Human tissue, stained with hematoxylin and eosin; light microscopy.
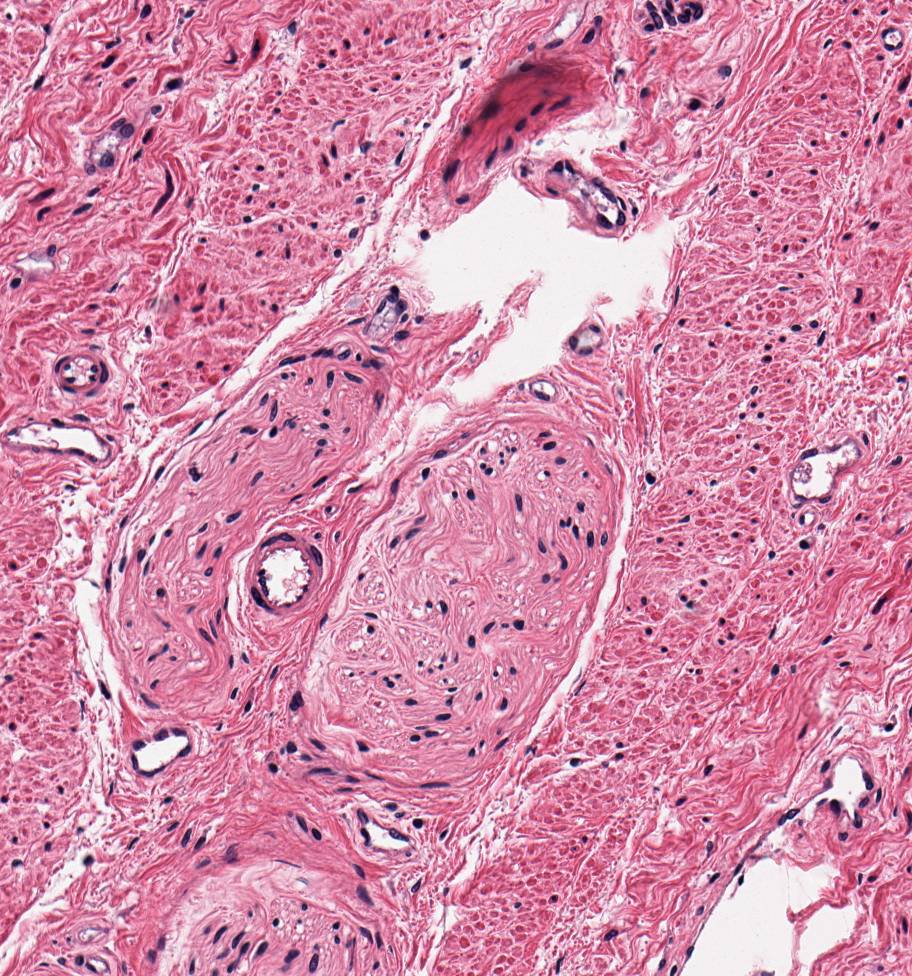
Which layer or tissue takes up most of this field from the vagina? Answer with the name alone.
smooth muscle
